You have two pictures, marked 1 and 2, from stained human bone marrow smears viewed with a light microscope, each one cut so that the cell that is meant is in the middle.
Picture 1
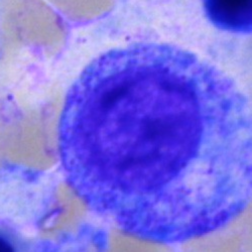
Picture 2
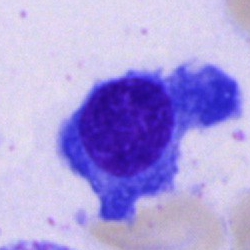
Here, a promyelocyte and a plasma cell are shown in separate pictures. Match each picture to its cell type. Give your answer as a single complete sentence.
Picture 1 shows a promyelocyte and picture 2 shows a plasma cell.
